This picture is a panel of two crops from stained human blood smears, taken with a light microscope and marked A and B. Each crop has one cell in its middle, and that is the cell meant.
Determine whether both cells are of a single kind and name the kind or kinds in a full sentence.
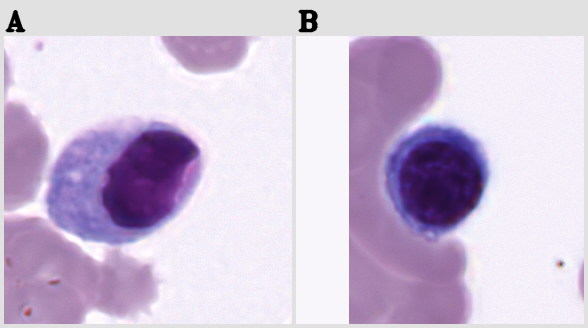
Yes, the central cells, in both crops, are plasma cells.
